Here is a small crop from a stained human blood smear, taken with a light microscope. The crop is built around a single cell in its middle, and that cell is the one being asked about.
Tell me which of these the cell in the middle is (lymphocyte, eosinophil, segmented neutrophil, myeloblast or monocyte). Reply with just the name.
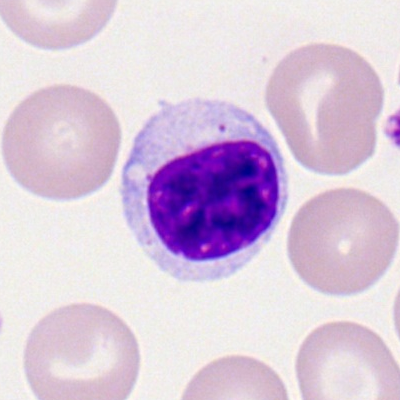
lymphocyte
